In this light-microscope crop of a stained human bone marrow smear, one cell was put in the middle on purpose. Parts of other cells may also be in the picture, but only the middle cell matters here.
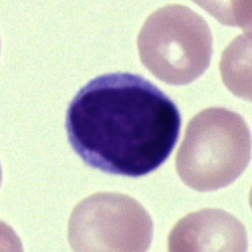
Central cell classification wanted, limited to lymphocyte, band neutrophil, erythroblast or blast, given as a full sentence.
The cell found in the middle of this crop is a lymphocyte.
